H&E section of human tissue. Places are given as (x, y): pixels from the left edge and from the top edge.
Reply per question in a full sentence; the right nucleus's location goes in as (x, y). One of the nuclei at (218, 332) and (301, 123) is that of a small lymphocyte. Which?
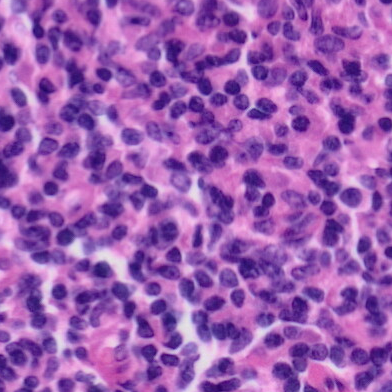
Which one belongs to a small lymphocyte? The nucleus at (218, 332) does.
